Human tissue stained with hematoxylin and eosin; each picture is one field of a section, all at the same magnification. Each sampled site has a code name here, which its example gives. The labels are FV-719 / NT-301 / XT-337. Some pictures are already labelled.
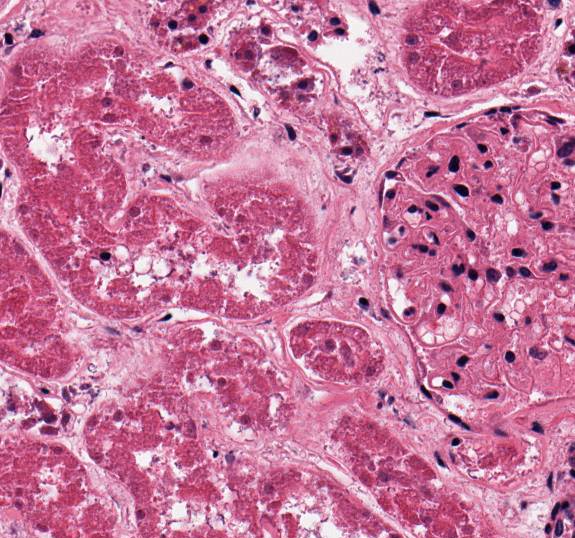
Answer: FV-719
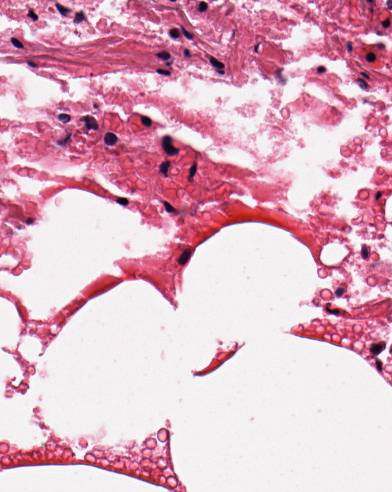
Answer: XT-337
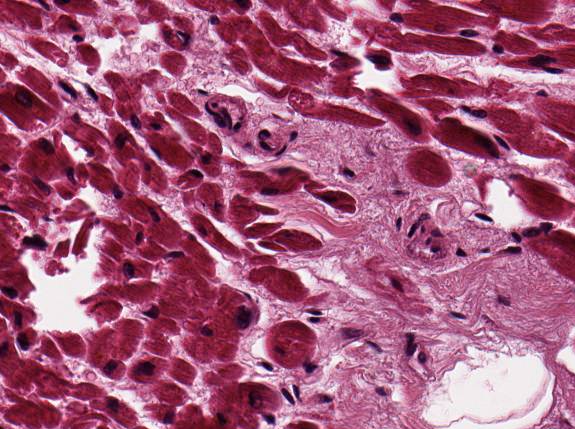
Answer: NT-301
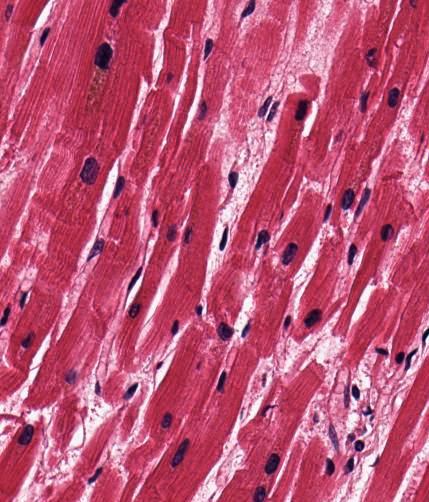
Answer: NT-301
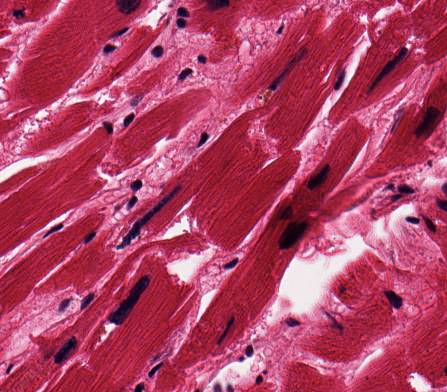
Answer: NT-301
